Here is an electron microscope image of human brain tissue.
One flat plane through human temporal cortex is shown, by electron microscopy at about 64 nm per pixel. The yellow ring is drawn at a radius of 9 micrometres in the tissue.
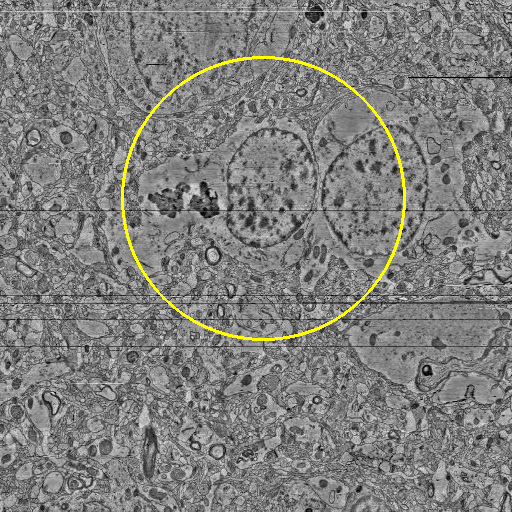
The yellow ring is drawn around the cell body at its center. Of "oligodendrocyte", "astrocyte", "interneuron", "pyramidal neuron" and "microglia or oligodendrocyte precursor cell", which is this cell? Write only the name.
astrocyte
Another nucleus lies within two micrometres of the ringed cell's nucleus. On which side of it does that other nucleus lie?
The other nucleus is found to the right of it.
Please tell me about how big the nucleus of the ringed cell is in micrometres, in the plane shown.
The nucleus works out at approximately 8 by 6 micrometres in this plane.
